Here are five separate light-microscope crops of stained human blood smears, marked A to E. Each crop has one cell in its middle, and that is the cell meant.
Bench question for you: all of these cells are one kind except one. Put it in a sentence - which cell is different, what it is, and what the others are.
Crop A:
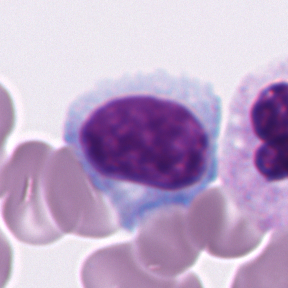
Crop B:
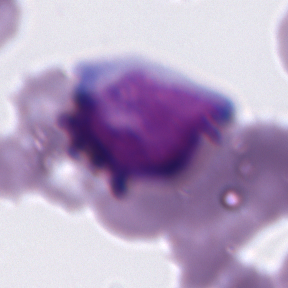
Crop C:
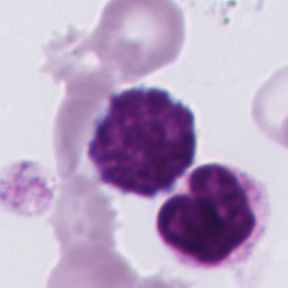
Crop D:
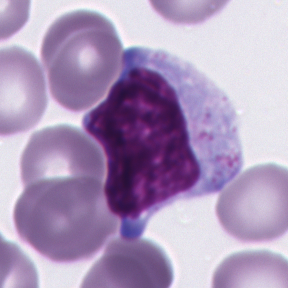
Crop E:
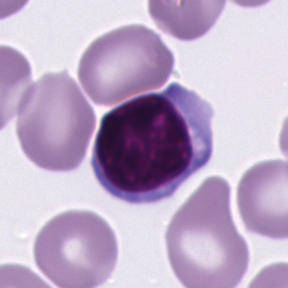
Crop B presents a myeloblast, while typical lymphocytes are presented by all other crops.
